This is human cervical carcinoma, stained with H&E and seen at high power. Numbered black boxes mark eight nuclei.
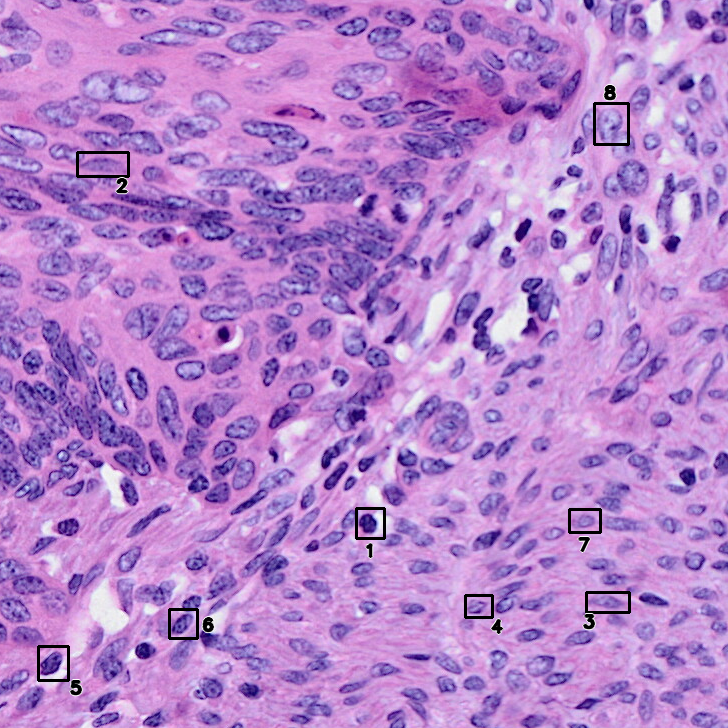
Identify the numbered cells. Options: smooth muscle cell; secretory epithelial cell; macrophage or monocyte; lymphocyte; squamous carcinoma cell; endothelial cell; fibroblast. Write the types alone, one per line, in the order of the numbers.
lymphocyte
squamous carcinoma cell
smooth muscle cell
smooth muscle cell
lymphocyte
lymphocyte
smooth muscle cell
endothelial cell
